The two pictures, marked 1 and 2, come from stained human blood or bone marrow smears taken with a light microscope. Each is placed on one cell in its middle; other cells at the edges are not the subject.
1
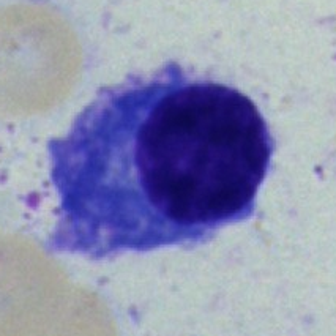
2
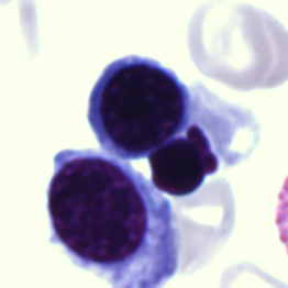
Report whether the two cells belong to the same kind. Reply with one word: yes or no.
no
